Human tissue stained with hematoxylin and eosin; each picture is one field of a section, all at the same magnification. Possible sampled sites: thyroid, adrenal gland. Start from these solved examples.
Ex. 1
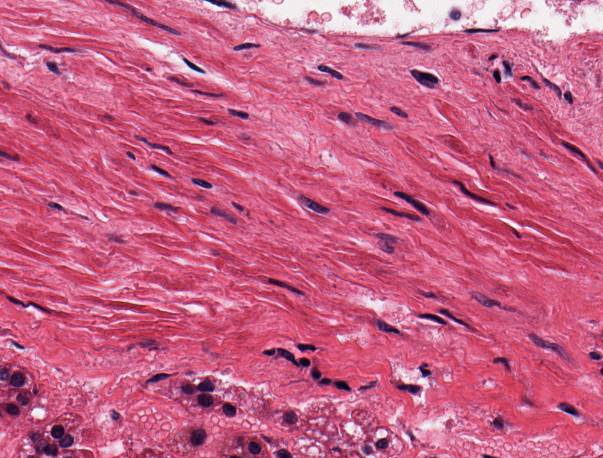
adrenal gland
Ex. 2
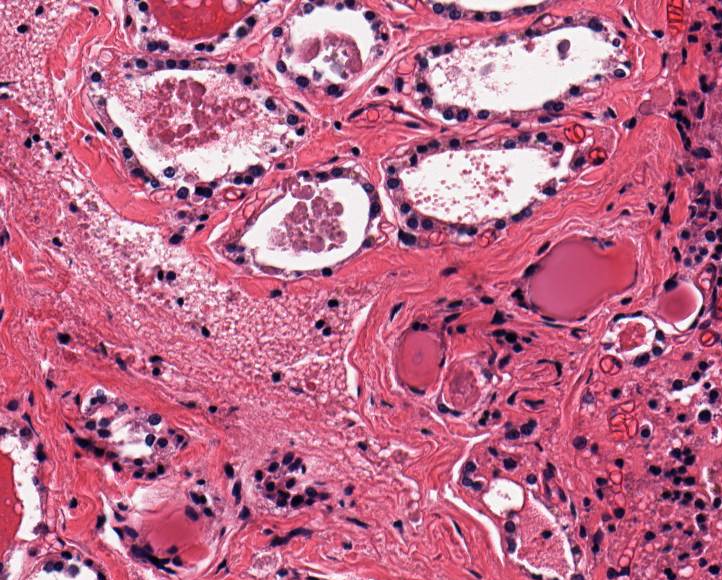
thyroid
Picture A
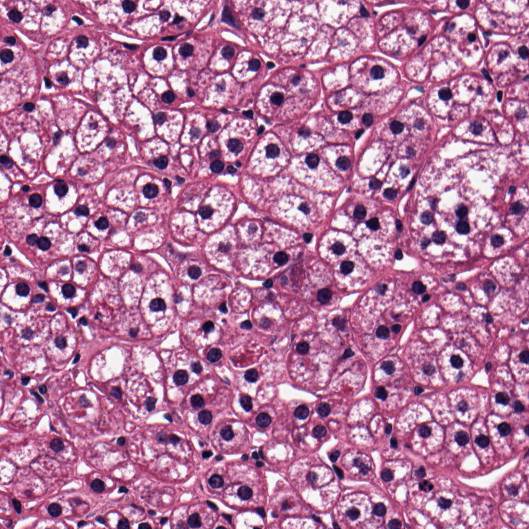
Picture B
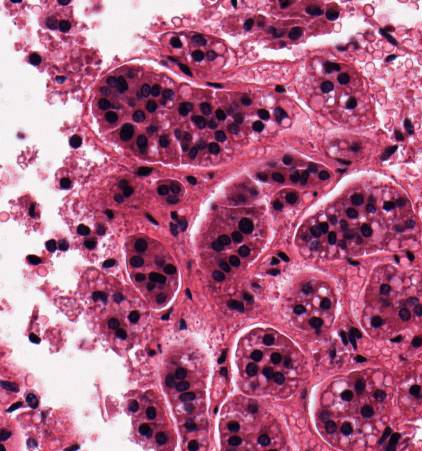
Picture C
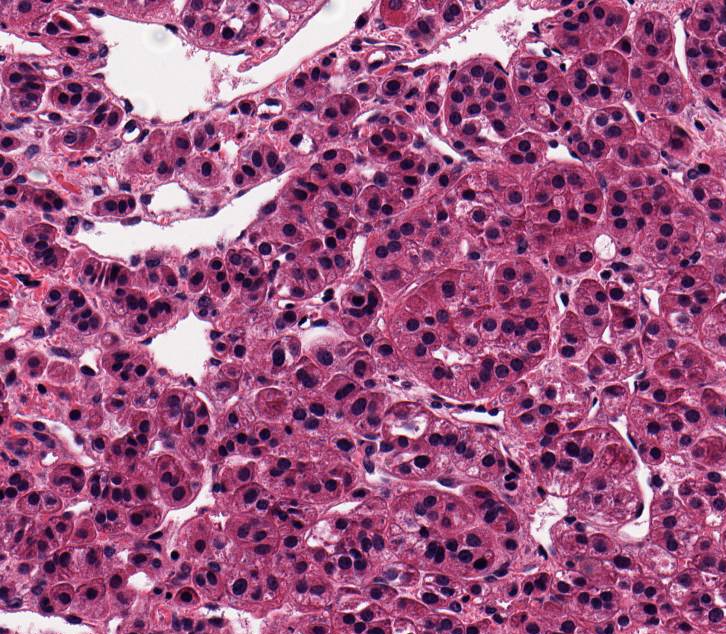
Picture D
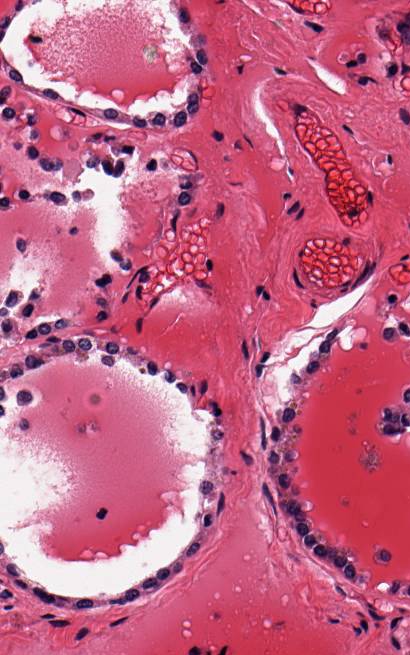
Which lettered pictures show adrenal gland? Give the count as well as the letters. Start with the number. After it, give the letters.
3, namely A, B, C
